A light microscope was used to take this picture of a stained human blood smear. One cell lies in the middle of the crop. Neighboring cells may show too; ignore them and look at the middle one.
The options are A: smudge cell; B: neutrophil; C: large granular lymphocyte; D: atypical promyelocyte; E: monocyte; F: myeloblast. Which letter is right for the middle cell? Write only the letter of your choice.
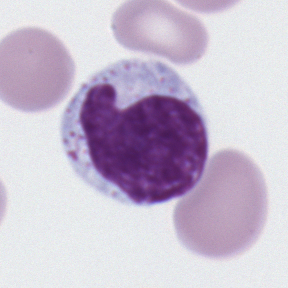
C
